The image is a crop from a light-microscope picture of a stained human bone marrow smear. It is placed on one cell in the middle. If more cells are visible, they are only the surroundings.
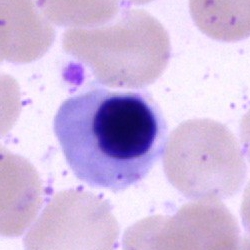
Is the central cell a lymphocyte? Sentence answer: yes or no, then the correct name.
No, the cell found centrally in the crop is a normoblast, not a lymphocyte.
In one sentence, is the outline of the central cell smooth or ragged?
Happy to help: the outline is smooth and shows no projections.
